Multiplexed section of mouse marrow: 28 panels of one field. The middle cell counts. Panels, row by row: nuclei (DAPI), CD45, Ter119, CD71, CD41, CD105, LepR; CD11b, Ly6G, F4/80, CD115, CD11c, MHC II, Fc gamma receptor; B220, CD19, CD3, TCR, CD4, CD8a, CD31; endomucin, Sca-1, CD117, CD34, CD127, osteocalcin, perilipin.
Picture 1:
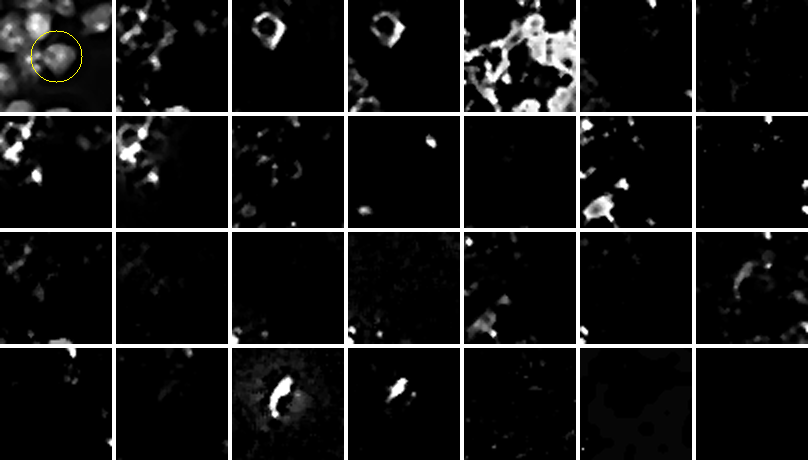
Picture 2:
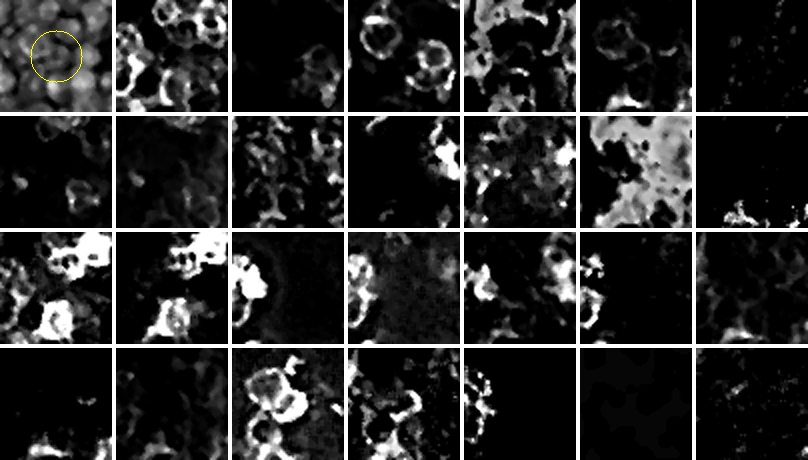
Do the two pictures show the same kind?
Yes, both are common myeloid progenitors.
